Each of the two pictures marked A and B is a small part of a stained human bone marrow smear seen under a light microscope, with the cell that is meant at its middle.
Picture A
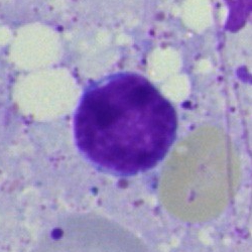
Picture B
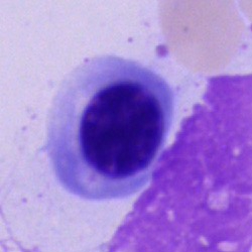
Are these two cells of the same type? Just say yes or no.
no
